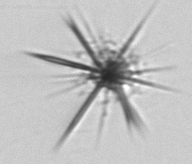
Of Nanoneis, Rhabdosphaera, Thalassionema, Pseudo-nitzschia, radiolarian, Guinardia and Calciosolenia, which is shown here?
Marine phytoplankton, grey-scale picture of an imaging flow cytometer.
radiolarian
